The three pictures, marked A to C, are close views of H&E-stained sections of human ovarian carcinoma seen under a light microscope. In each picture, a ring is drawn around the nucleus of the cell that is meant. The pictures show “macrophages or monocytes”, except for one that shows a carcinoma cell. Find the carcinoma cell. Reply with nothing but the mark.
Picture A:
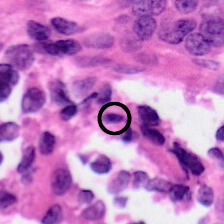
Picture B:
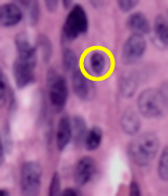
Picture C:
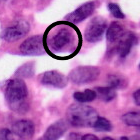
C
